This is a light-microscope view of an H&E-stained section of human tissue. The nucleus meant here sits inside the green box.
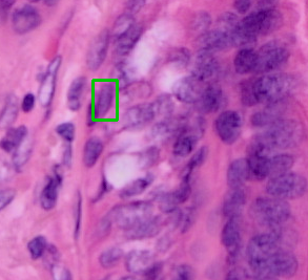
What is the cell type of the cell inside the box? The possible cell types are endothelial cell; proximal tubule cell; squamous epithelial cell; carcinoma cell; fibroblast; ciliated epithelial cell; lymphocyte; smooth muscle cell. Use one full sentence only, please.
On this particular slide, the cell inside the box is a ciliated epithelial cell.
